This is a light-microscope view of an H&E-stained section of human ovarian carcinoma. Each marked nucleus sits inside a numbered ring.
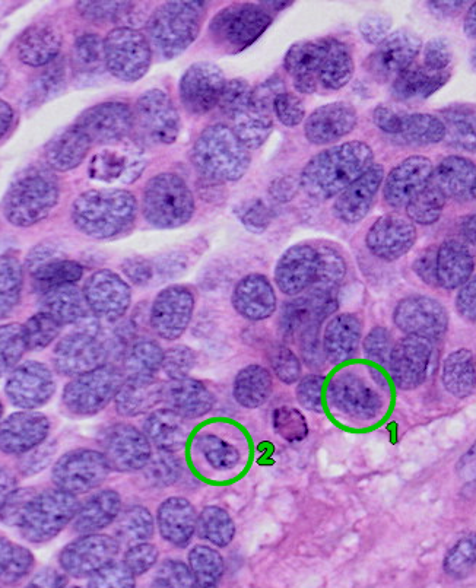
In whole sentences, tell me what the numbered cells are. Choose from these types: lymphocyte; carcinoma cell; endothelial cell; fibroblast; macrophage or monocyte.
Cell 1 is a carcinoma cell and cell 2 is a macrophage or monocyte.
